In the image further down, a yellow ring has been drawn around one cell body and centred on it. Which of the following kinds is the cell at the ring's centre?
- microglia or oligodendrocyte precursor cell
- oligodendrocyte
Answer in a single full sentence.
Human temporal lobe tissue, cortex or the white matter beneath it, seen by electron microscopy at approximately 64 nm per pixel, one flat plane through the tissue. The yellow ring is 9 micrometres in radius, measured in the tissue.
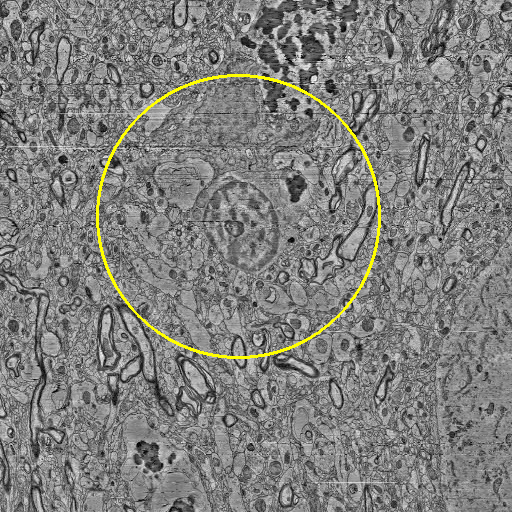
In the picture, the cell sitting at the centre of the yellow ring is an oligodendrocyte.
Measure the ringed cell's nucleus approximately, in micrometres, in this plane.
The nucleus is approximately 6 micrometers long by 5 micrometers wide in this plane.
